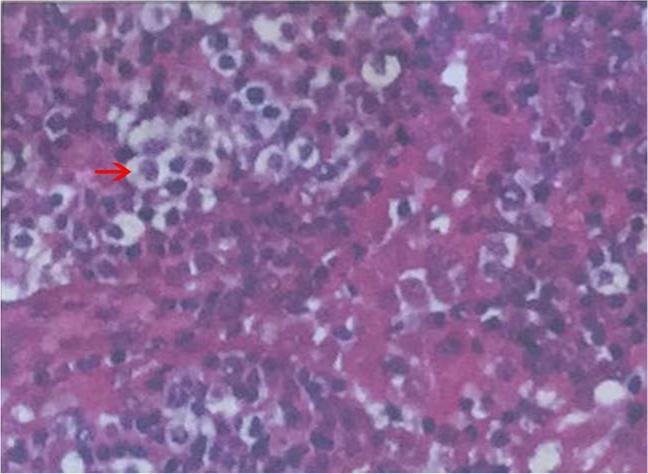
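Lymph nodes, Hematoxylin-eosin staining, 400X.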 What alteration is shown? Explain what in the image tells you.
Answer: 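Transparent cytoplasm. Many cells have a pale, clear rim of cytoplasm around a dark nucleus. These clear cells lie in groups among densely packed dark nuclei.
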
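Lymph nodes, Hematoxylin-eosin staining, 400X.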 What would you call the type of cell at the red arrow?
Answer: Small to medium-sized lymphocytes.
